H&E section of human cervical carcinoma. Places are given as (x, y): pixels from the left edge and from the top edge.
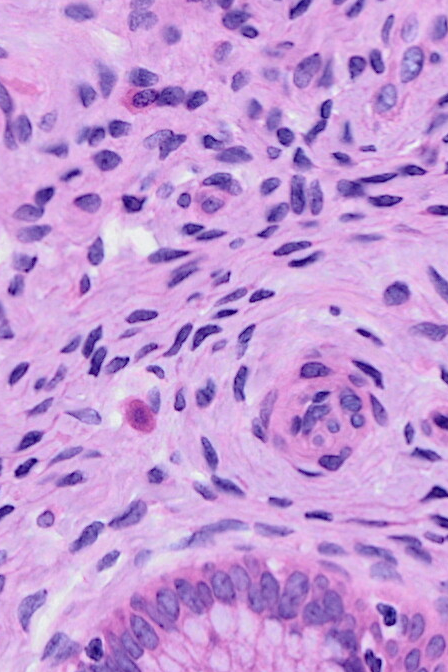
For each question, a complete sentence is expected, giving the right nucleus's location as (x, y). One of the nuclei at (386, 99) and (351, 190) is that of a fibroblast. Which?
The nucleus at (351, 190) is the member of the pair belonging to a fibroblast.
